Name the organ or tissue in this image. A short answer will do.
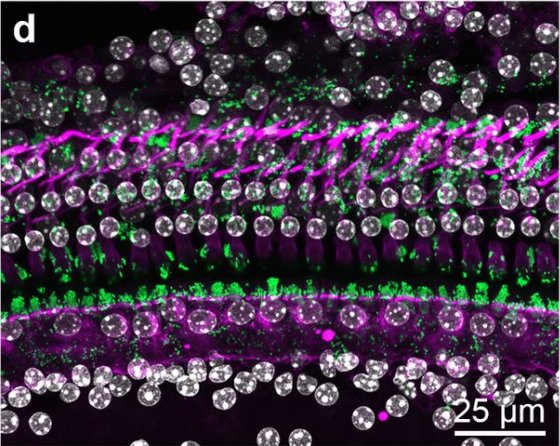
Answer: organ of Corti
